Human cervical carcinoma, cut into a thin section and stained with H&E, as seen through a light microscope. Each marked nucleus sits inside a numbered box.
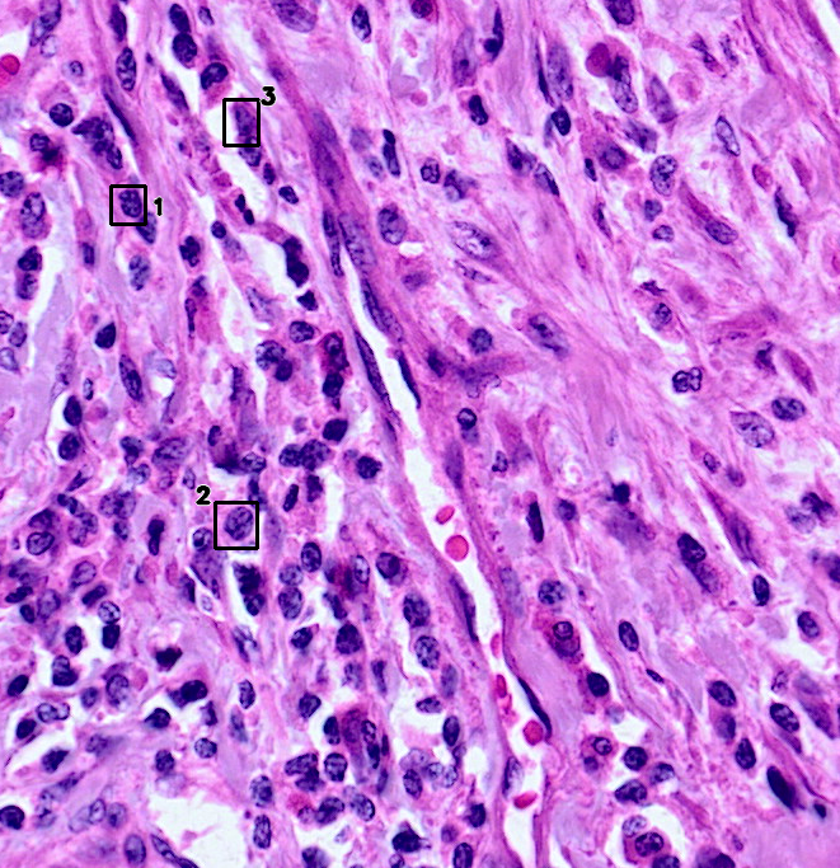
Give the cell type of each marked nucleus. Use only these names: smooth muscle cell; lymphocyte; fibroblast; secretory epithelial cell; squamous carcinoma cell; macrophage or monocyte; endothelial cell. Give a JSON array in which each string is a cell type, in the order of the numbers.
["lymphocyte", "lymphocyte", "macrophage or monocyte"]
